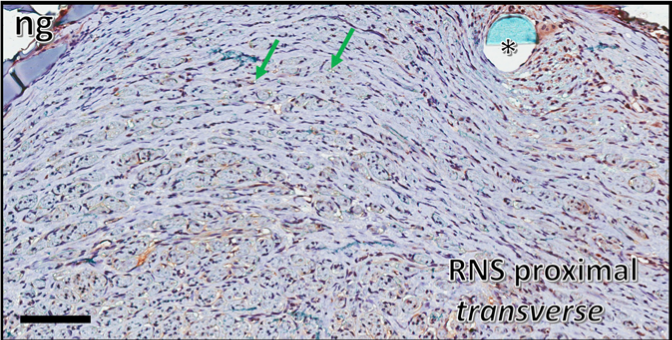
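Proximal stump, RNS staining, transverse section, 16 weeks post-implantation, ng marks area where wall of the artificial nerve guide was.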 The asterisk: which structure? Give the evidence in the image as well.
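Suture. A round, sharply bounded empty hole in the tissue. Pale blue material partly fills the hole.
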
